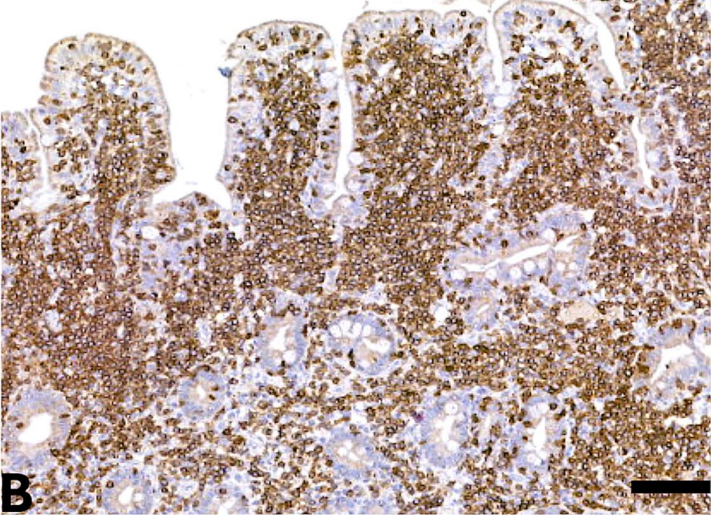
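Tightly packed round brown cells fill the cores of the broad villi and spread in sheets between the crypts, so the brown mass dominates the field. Each brown cell is small to medium in size, with a rim of brown around and over the nucleus. The crypts and surface columnar epithelium stand out as blue-grey islands and lining, unstained, surrounded by the brown population that presses right against them.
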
